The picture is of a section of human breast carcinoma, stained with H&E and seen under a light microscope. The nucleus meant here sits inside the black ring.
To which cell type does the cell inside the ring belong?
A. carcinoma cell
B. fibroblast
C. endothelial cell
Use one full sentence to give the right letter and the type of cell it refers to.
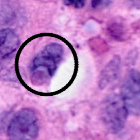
Since the cell inside the ring is a carcinoma cell, the right option is A.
